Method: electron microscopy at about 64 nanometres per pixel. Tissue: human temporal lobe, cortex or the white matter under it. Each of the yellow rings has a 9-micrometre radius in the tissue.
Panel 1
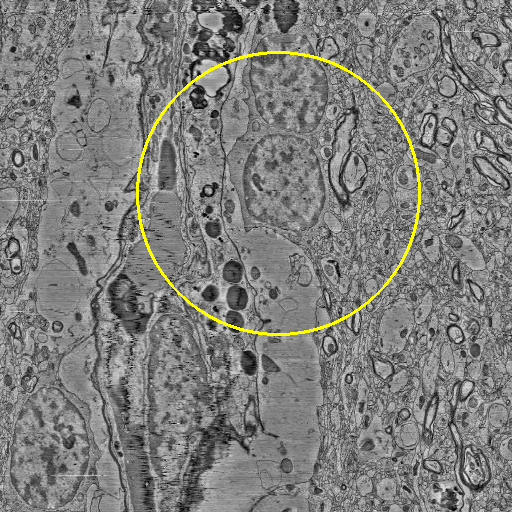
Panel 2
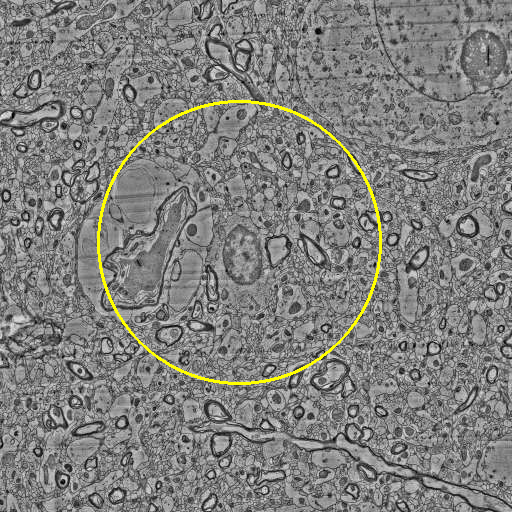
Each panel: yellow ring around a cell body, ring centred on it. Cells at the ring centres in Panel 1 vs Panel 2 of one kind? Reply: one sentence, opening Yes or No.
Yes, Panel 1 and Panel 2 have cells of one kind at the ring centres.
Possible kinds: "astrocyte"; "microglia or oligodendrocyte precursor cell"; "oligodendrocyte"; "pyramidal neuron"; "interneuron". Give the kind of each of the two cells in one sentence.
The ring centre holds an oligodendrocyte in each of the two pictures.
